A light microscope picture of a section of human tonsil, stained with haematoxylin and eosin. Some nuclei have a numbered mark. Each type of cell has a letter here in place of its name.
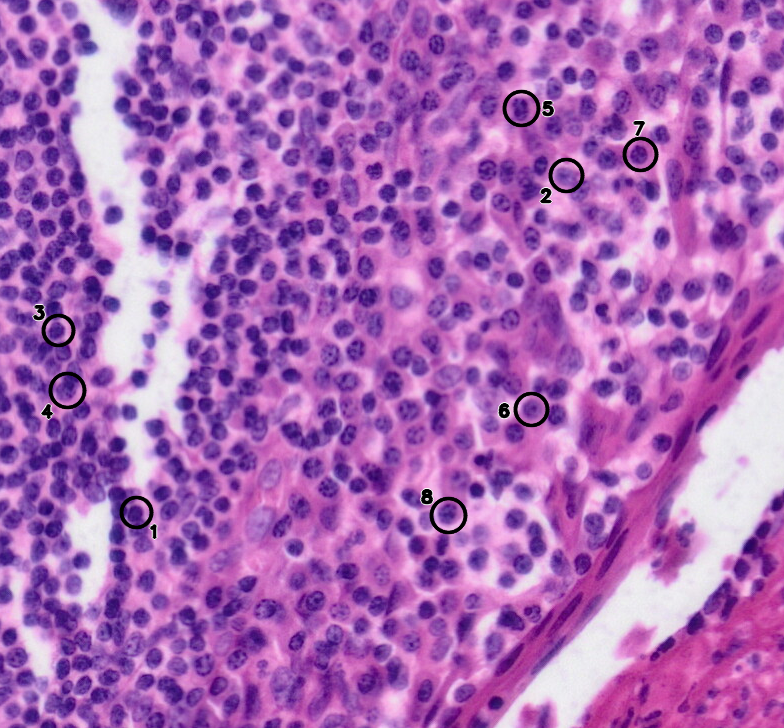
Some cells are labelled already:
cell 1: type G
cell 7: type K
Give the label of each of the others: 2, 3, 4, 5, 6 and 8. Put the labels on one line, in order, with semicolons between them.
type K; type G; type G; type K; type K; type K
